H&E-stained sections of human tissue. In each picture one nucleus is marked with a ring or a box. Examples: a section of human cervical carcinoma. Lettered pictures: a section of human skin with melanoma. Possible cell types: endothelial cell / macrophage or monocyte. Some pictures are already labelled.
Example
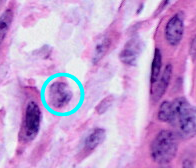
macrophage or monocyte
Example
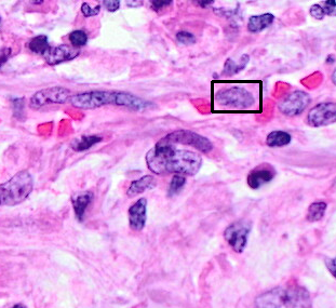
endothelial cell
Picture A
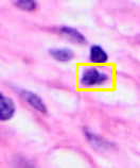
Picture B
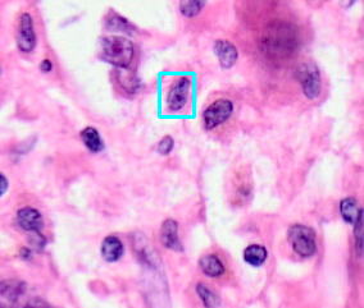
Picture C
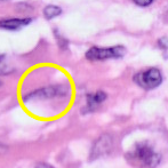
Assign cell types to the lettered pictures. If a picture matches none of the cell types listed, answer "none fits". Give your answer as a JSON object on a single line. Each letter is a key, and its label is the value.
{"A": "none fits", "B": "macrophage or monocyte", "C": "endothelial cell"}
